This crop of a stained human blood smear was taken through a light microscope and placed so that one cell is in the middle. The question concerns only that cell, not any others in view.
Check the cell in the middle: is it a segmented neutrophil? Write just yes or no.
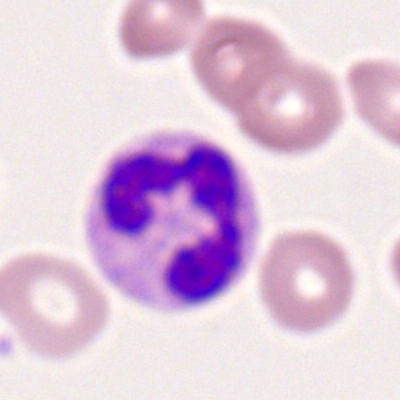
yes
